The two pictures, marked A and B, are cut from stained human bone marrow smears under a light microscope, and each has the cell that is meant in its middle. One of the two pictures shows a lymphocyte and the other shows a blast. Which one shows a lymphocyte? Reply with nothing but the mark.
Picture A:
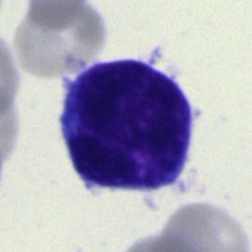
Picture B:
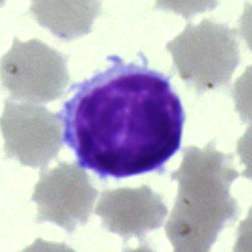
B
